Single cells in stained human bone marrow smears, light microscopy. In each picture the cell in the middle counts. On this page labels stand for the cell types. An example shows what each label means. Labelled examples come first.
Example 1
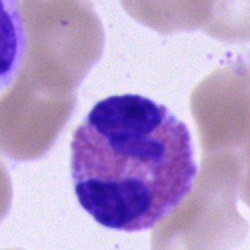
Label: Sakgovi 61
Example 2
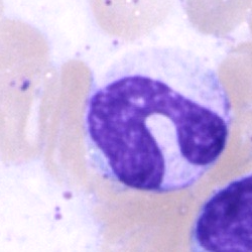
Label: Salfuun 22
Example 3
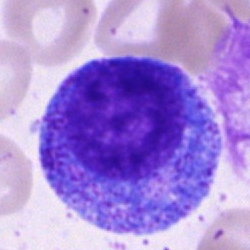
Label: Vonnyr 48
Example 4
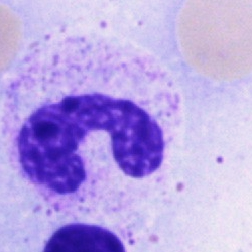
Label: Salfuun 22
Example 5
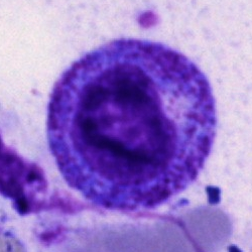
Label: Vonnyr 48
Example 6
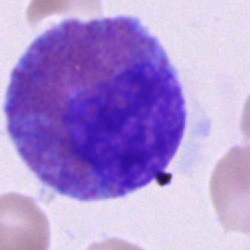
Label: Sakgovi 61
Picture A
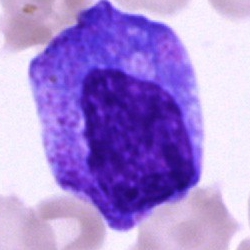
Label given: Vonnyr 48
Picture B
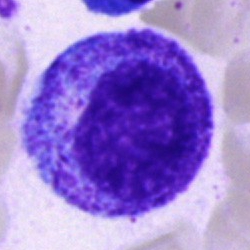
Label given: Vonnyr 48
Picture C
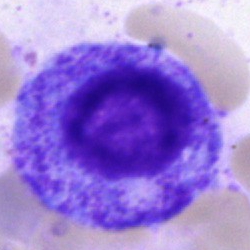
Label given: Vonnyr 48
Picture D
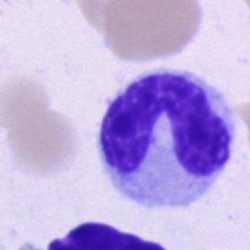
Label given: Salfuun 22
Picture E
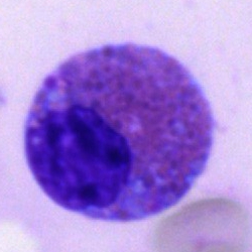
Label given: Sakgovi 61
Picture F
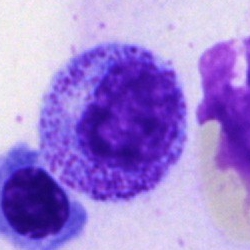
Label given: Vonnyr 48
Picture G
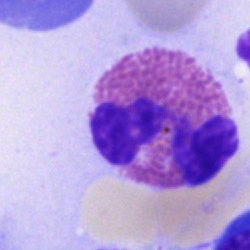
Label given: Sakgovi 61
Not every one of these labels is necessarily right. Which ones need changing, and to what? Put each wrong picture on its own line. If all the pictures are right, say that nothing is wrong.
All labels are correct.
